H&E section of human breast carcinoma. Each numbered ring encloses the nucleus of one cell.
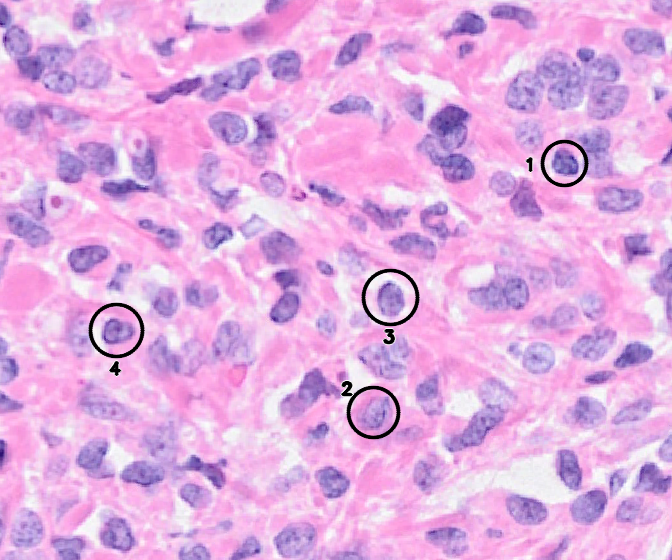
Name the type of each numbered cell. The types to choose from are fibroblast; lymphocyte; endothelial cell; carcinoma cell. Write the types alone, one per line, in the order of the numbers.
lymphocyte
carcinoma cell
carcinoma cell
carcinoma cell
